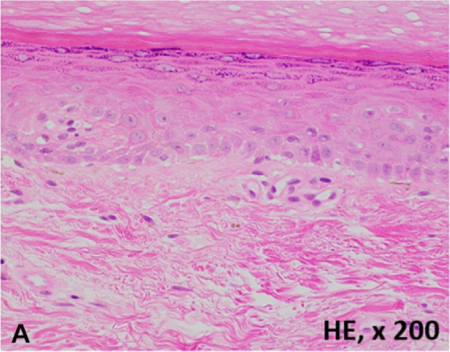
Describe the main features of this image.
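This is a section of skin with the epidermis above and the papillary dermis below. The epidermis is thin and flattened: its lower border runs almost straight, with no rete ridges dipping into the dermis. On top lies a compact pink horny layer. In the upper dermis, just under the epidermis, small vessels with lining nuclei can be made out, and the pink collagen below is loose and wavy. Only scattered nuclei lie in the dermis.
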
